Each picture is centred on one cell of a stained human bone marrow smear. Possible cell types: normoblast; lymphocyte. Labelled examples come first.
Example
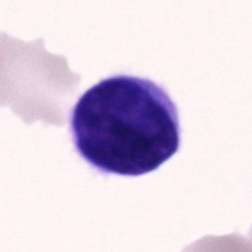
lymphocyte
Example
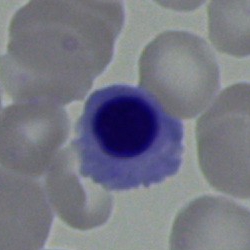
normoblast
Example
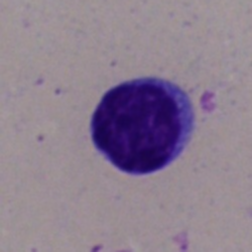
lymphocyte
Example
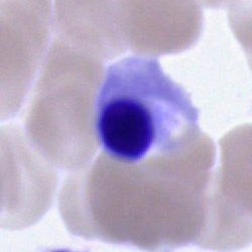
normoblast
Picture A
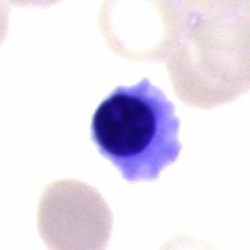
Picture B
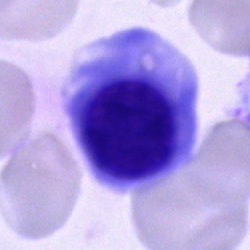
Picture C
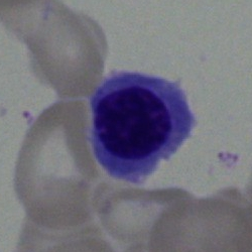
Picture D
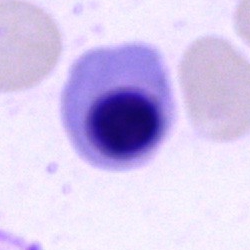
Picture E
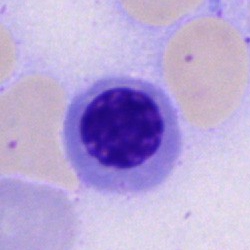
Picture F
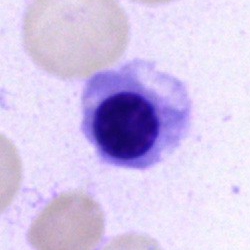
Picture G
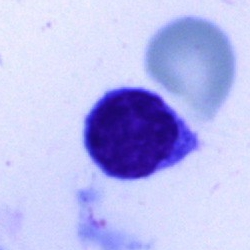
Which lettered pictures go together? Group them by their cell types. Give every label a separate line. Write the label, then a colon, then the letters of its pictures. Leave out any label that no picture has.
normoblast: A, B, C, D, E, F
lymphocyte: G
